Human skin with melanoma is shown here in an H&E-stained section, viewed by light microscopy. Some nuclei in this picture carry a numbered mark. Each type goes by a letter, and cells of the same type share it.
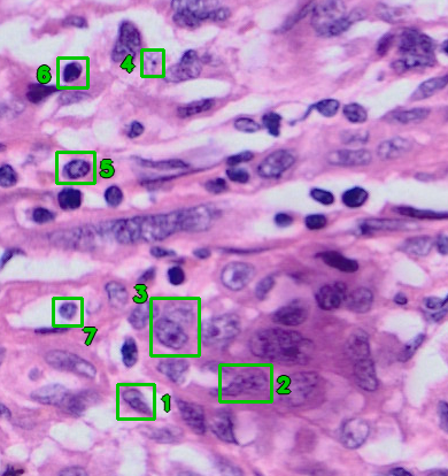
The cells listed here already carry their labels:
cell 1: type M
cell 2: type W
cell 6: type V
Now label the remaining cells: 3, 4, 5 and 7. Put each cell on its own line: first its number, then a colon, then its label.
3: type W
4: type W
5: type V
7: type V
